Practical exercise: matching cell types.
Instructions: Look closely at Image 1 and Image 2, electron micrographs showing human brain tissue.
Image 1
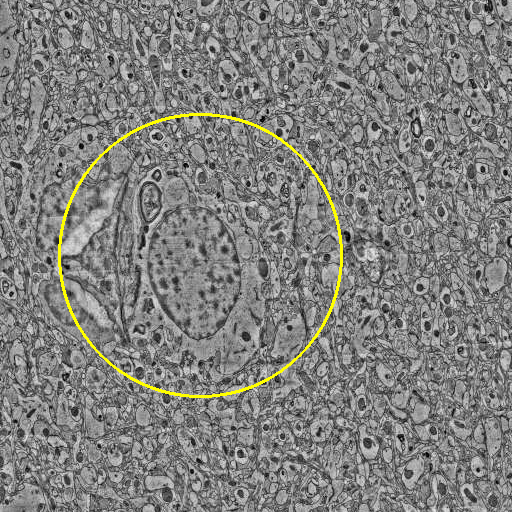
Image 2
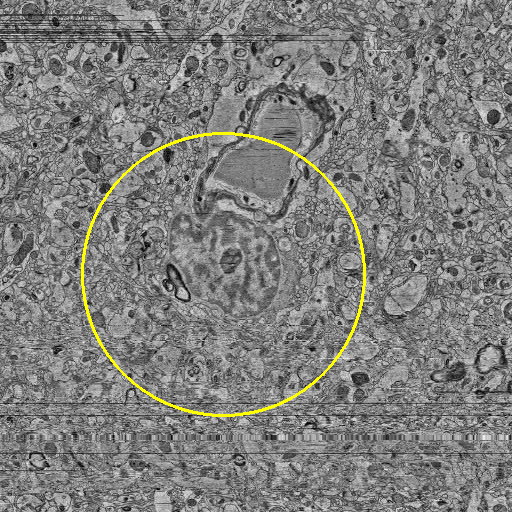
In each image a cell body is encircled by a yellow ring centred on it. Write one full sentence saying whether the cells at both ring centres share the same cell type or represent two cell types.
Across Image 1 and Image 2, the cells at the ring centres represent two cell types.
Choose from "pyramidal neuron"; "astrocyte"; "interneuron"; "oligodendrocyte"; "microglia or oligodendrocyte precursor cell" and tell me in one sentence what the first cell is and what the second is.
What the first ring is centred on is an astrocyte; what the second ring is centred on is an oligodendrocyte.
